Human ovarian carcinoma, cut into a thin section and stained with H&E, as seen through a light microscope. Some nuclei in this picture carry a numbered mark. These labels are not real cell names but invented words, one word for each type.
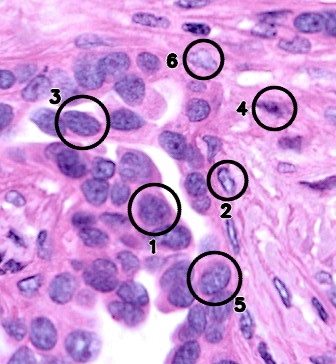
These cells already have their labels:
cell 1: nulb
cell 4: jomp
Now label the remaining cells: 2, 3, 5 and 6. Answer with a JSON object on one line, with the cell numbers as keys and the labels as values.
{"2": "jomp", "3": "nulb", "5": "nulb", "6": "jomp"}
